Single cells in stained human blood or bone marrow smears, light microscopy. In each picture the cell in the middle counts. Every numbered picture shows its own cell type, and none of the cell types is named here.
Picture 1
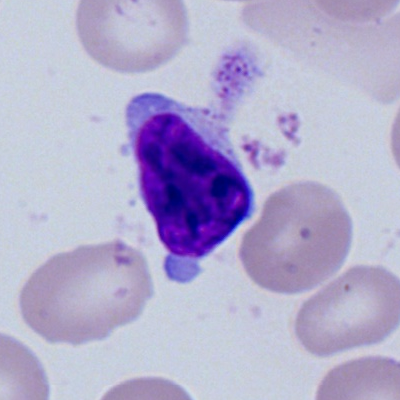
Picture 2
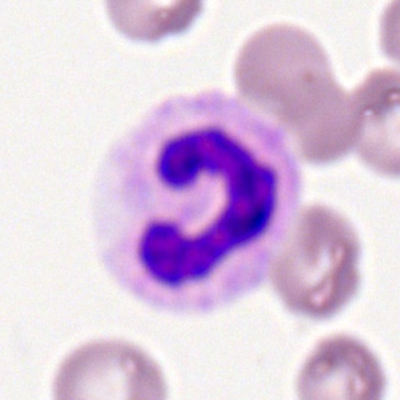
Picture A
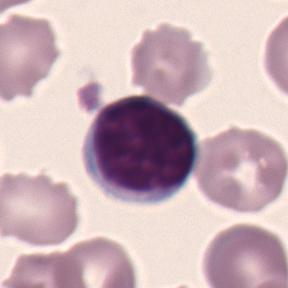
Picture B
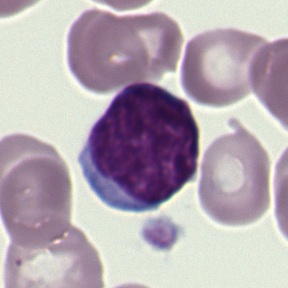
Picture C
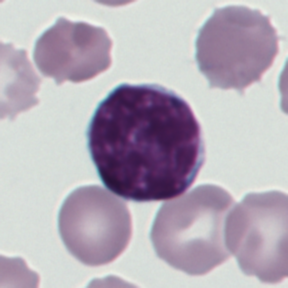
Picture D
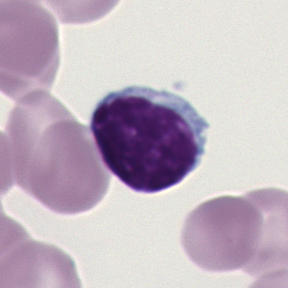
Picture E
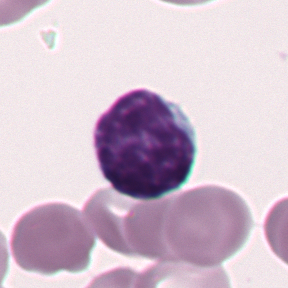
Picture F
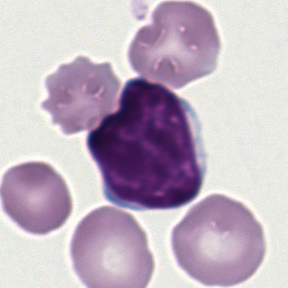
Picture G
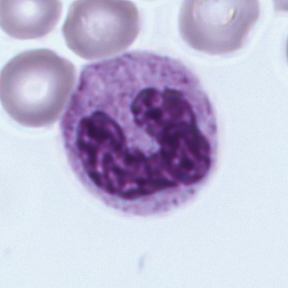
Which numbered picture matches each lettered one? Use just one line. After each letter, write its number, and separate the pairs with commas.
A 1, B 1, C 1, D 1, E 1, F 1, G 2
